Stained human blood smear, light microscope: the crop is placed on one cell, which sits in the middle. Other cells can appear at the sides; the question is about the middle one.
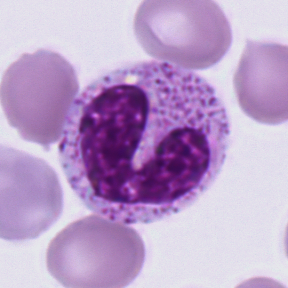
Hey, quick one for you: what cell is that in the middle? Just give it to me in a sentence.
On this slide crop, the central cell is a band neutrophil.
